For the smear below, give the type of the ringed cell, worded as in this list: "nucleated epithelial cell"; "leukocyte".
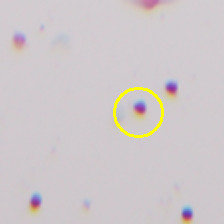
leukocyte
